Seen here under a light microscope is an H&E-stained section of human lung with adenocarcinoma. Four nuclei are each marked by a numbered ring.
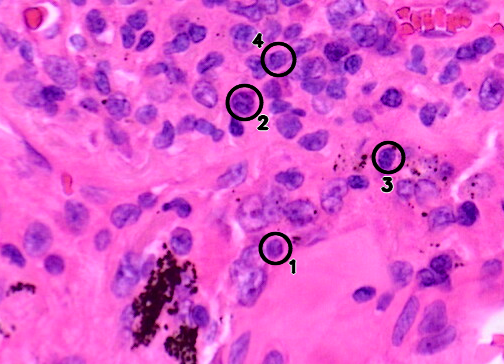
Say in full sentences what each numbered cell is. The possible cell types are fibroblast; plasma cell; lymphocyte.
Cell 1 is a lymphocyte, cell 2 is a plasma cell, cell 3 is a lymphocyte and cell 4 is a lymphocyte.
